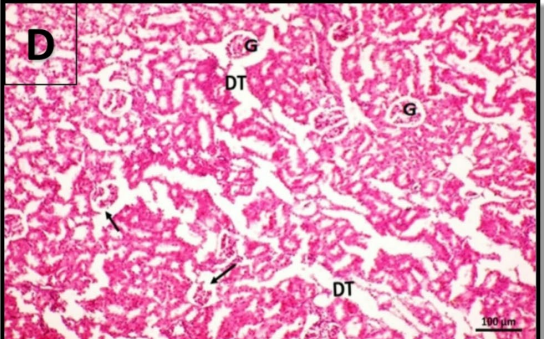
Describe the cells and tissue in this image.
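This is renal cortex in which many renal tubules are dilated, with wide, irregular clear lumens and pale spaces between them. Some renal corpuscles show a broken Bowman's capsule and glomeruli divided into lobes.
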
